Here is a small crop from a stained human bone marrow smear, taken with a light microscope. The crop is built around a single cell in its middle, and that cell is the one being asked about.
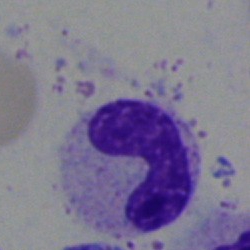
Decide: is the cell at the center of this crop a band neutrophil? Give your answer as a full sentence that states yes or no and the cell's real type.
Yes, the central element of the crop is a band neutrophil.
